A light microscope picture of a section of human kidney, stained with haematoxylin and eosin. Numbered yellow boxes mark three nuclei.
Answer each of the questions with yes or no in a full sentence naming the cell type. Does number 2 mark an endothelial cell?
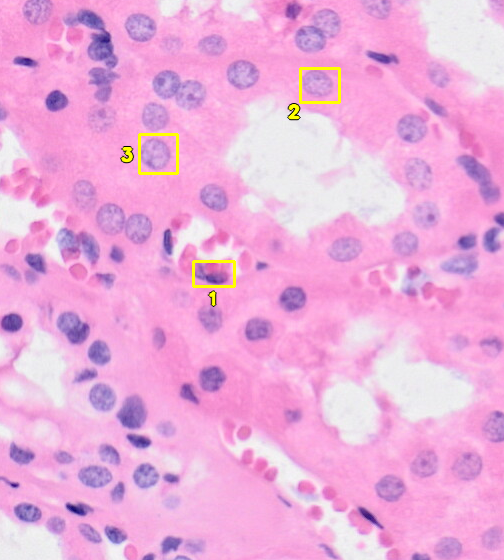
No, cell 2 is a proximal tubule cell and should not be called an endothelial cell.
